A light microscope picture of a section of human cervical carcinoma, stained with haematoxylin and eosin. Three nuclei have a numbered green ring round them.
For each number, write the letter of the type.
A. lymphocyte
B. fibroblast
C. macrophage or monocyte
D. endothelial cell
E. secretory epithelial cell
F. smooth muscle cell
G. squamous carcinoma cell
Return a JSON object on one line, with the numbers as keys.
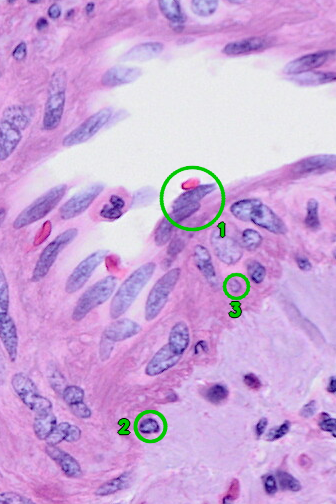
{"1": "D", "2": "F", "3": "F"}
